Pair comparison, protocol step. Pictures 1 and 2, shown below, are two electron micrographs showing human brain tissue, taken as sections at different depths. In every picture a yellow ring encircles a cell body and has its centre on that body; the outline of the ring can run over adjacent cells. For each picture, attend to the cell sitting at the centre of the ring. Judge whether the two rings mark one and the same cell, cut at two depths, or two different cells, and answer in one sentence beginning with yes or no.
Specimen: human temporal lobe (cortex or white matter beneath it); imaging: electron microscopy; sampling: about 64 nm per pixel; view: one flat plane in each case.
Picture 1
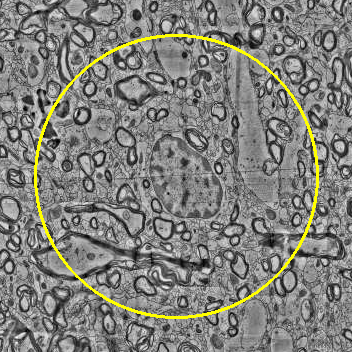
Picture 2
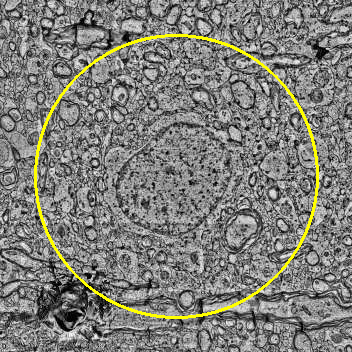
No, there are two different cells marked by the rings.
